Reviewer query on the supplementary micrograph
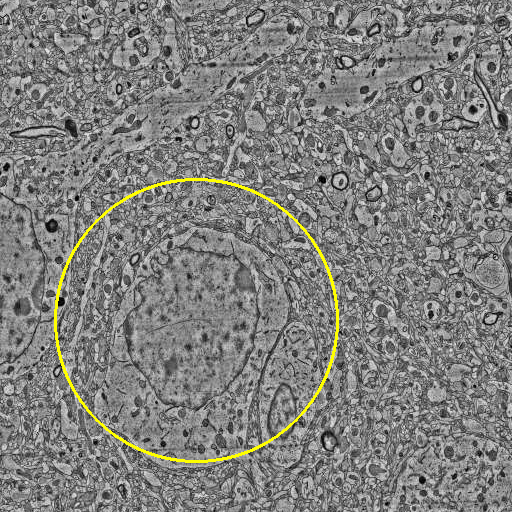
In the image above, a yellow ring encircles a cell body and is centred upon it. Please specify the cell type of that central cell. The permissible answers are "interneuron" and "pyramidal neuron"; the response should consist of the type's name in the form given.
interneuron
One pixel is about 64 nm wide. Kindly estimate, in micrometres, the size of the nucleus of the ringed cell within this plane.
Roughly 10 by 8 micrometres is the size of the nucleus in this plane.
